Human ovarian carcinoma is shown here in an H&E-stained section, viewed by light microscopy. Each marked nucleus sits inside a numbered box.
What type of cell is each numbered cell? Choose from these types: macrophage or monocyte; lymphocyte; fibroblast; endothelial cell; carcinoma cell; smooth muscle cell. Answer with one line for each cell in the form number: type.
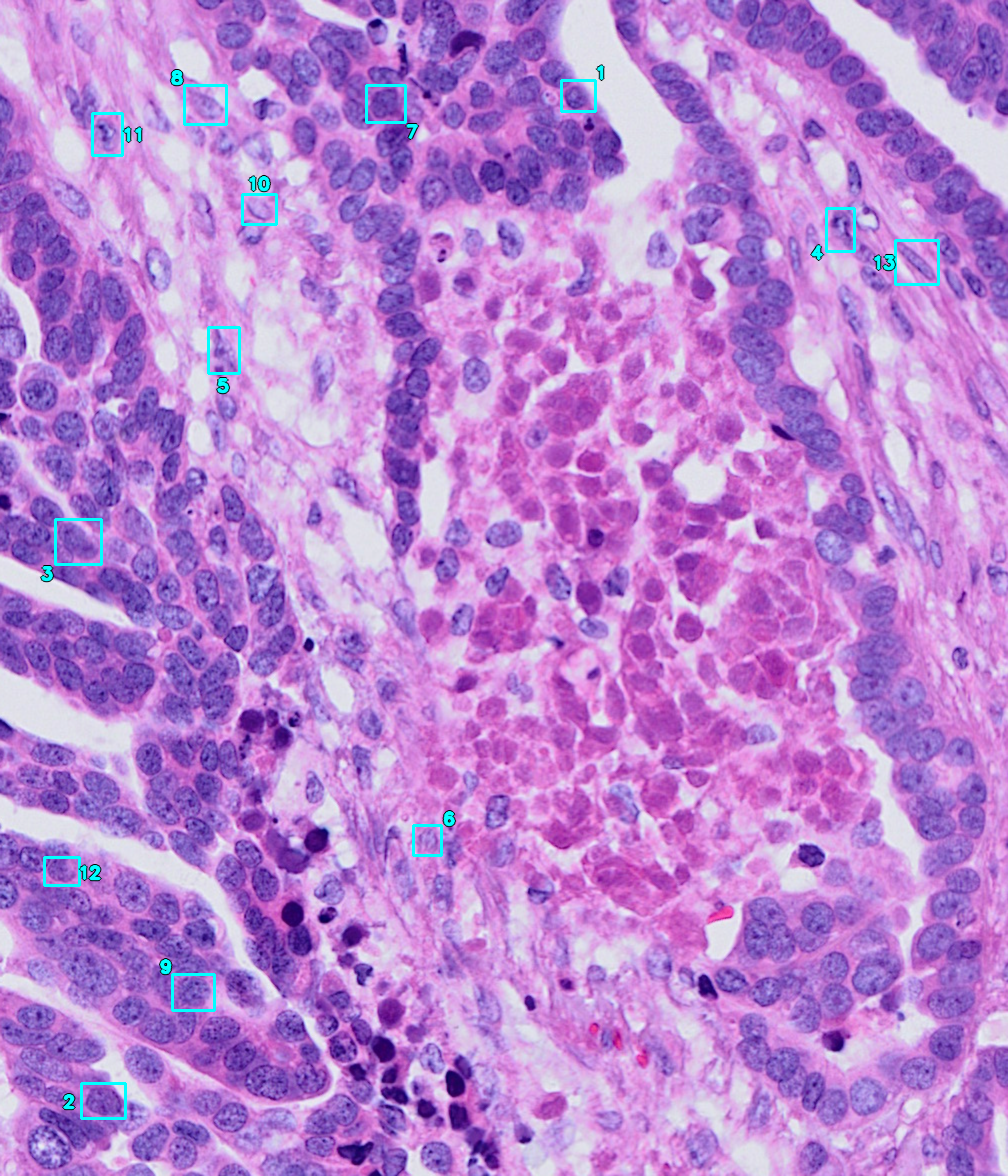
1: carcinoma cell
2: carcinoma cell
3: carcinoma cell
4: fibroblast
5: fibroblast
6: fibroblast
7: carcinoma cell
8: fibroblast
9: carcinoma cell
10: fibroblast
11: fibroblast
12: carcinoma cell
13: fibroblast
